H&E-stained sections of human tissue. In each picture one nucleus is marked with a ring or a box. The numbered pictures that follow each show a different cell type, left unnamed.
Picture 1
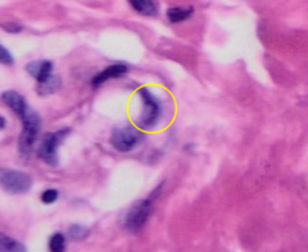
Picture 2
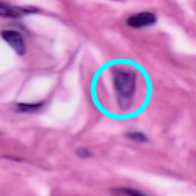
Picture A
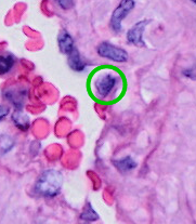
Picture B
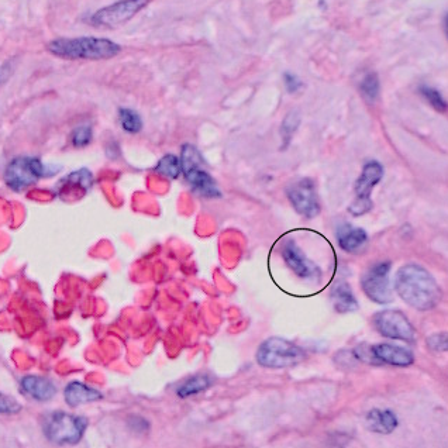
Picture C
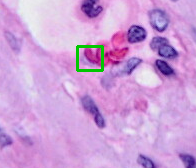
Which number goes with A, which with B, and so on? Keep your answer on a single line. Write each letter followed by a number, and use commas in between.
A 1, B 1, C 1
